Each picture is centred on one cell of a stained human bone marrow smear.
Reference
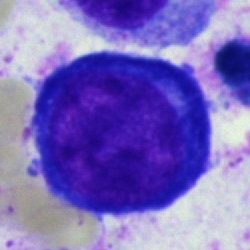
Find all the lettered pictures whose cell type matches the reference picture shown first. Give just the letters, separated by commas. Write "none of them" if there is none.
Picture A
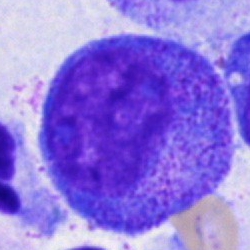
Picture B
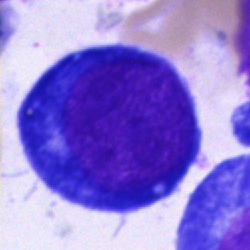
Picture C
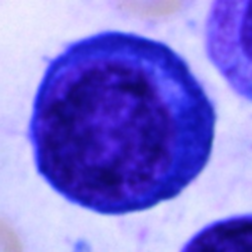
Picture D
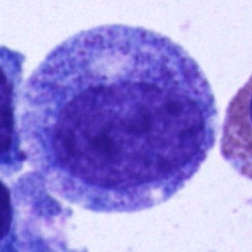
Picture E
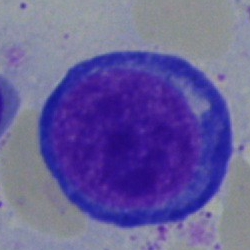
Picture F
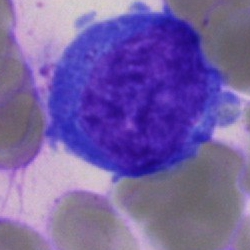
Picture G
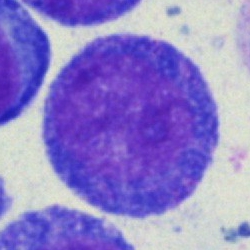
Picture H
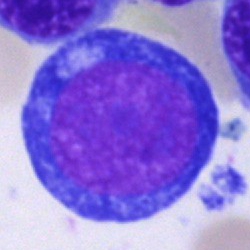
B, C, E, F, H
